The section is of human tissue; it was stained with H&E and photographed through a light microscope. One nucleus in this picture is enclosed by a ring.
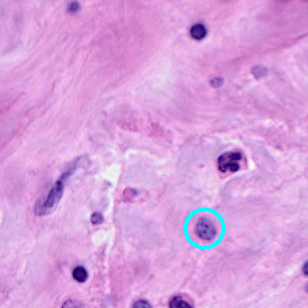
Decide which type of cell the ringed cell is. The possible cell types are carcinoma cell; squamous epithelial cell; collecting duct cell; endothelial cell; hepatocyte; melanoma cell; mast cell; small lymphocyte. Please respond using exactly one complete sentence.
Students should answer that the ringed cell is a mast cell.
